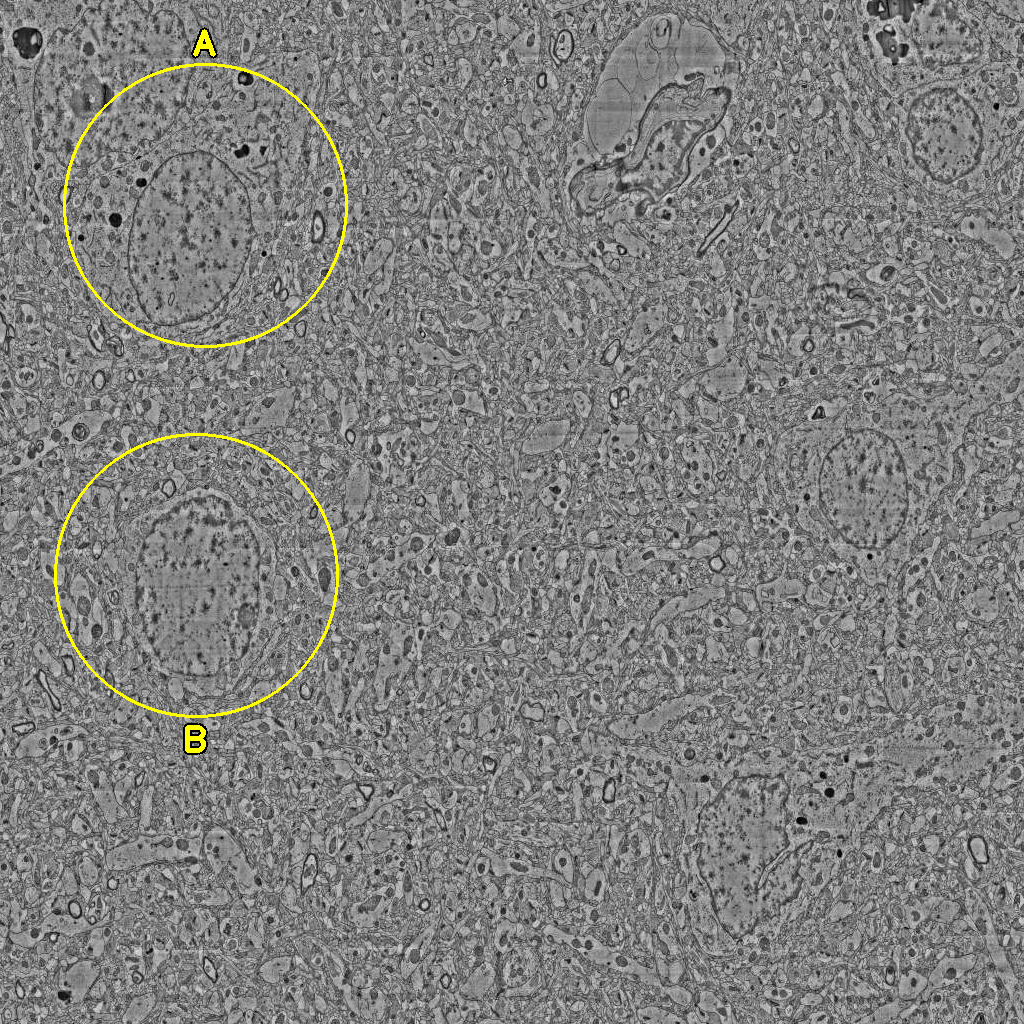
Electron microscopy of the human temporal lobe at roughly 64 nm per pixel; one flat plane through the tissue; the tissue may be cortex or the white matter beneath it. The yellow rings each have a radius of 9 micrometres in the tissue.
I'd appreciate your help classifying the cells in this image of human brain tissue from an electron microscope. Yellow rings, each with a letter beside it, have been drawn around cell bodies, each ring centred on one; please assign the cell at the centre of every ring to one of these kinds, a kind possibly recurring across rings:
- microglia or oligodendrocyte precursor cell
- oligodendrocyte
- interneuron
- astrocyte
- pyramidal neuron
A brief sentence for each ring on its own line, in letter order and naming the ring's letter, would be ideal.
In ring A, the central cell is a pyramidal neuron.
In ring B, the central cell is an interneuron.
